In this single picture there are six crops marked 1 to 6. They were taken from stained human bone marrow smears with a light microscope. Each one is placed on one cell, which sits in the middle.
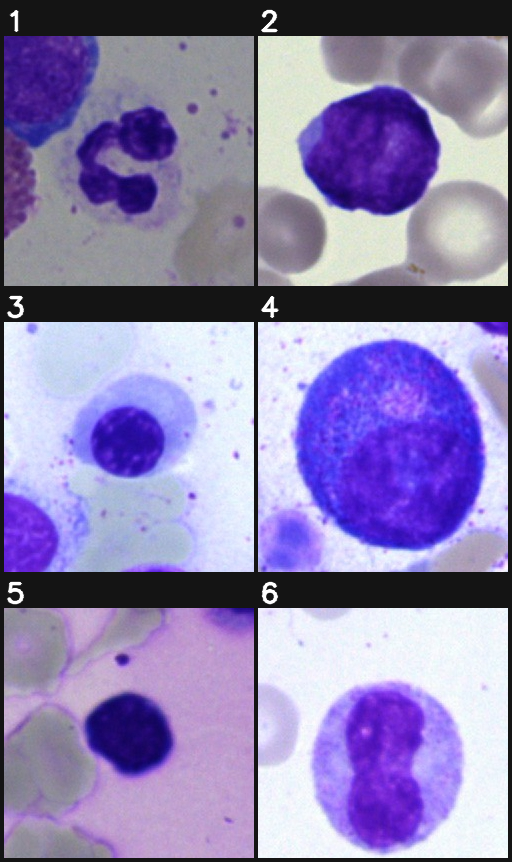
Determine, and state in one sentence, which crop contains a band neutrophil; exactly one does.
The one showing a band neutrophil is crop 6.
